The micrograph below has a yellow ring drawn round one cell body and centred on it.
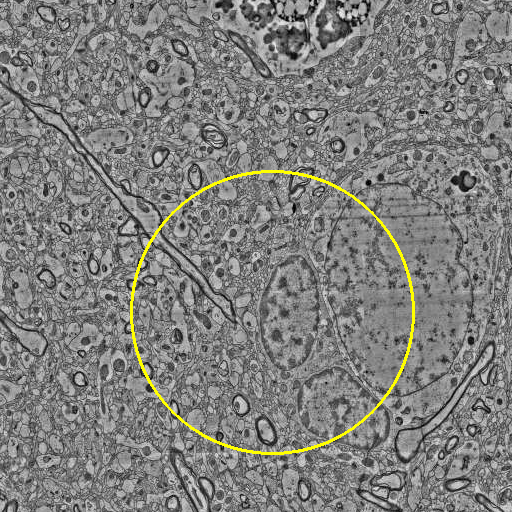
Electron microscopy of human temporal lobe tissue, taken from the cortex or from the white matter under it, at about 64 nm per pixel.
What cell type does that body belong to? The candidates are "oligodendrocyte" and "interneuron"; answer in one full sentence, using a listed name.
This is an oligodendrocyte, the cell whose body lies at the centre of the ring.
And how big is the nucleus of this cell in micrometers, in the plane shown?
About 7 micrometres by about 4 micrometres in this plane.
